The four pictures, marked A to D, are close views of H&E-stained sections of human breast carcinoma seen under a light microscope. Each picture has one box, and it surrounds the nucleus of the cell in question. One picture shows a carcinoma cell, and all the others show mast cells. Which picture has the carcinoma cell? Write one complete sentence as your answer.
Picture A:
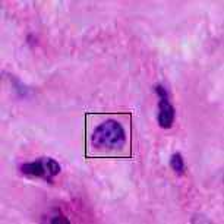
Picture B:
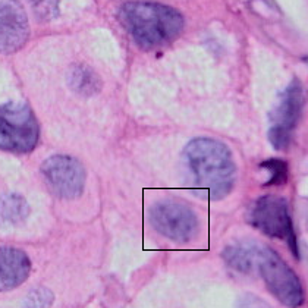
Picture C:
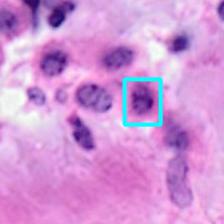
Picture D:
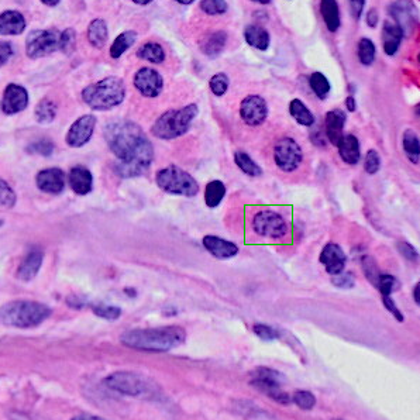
The carcinoma cell is the one in picture B.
